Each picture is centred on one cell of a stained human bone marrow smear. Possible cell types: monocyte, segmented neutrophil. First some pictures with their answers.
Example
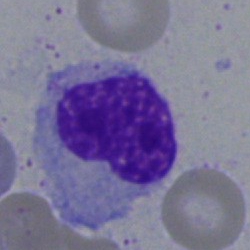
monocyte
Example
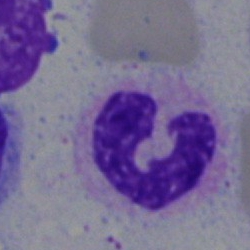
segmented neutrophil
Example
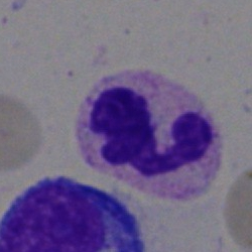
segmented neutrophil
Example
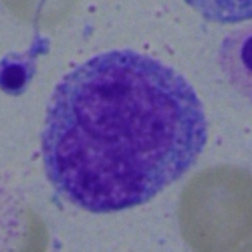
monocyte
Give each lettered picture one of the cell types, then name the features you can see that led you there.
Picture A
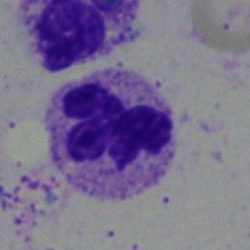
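segmented neutrophil. Reason: Fine purple granules are scattered throughout the cytoplasm.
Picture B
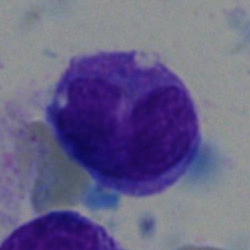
monocyte. Reason: The cytoplasm forms only a thin rim around the nucleus.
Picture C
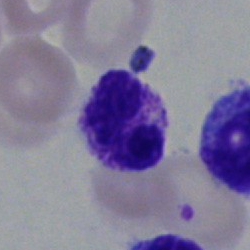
segmented neutrophil. Reason: The dense granules make the outline of the nucleus hard to follow.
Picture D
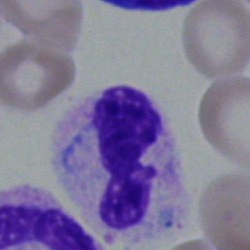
segmented neutrophil. Reason: The cytoplasm is abundant and pale lilac-pink.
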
